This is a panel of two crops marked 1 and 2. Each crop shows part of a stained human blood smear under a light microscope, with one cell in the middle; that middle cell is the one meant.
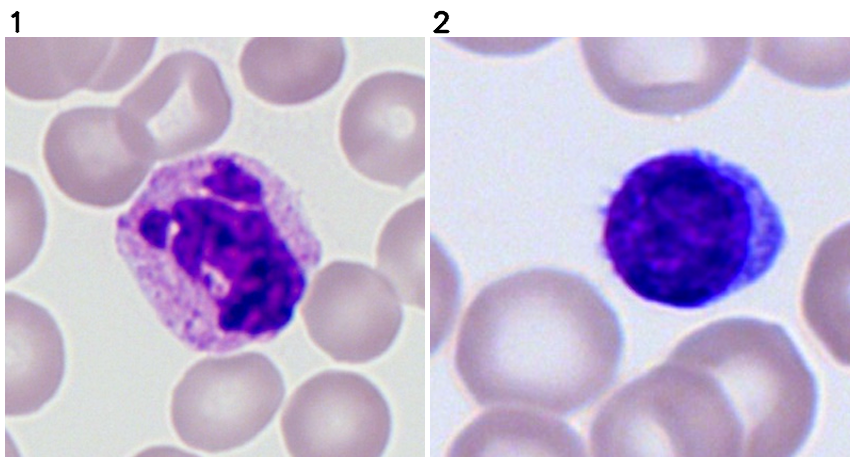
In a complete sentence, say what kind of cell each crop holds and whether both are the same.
No, crop 1 is home to a basophil, and crop 2 to a lymphocyte.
